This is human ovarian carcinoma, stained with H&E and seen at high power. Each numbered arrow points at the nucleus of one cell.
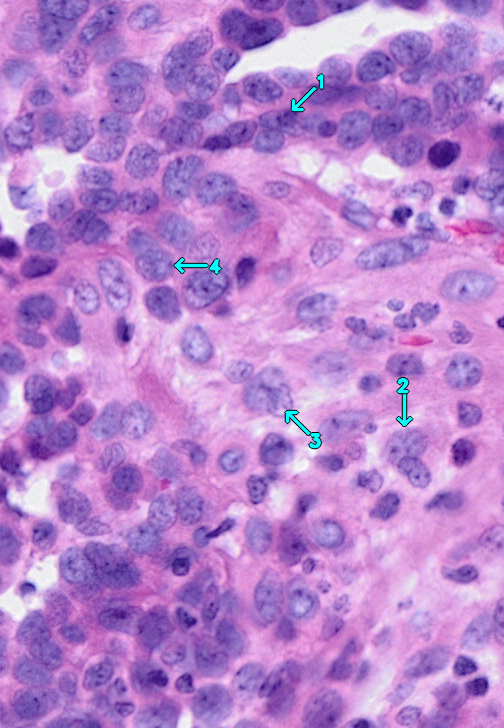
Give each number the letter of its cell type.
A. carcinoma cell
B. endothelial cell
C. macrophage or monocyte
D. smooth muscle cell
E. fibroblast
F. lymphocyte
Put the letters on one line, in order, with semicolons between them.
A; E; E; A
